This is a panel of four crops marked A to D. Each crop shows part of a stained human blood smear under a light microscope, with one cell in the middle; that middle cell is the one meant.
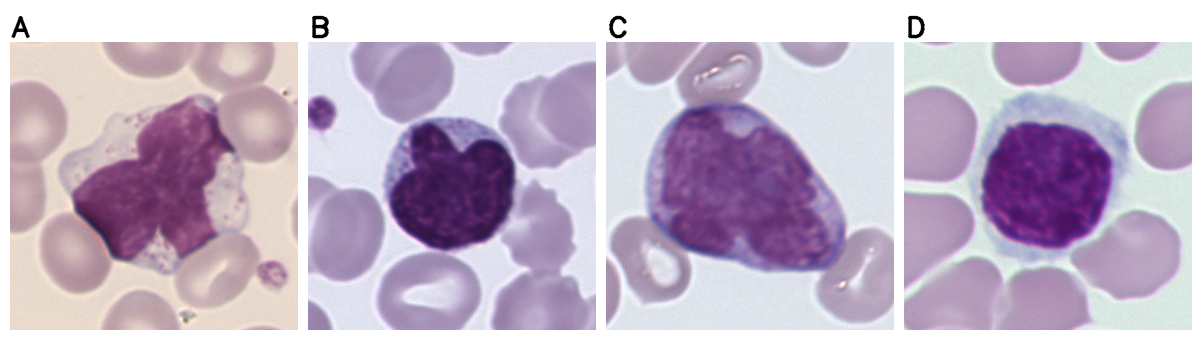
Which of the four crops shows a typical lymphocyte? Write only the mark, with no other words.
B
